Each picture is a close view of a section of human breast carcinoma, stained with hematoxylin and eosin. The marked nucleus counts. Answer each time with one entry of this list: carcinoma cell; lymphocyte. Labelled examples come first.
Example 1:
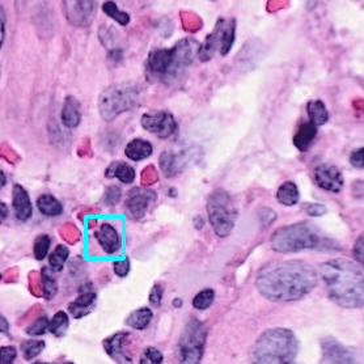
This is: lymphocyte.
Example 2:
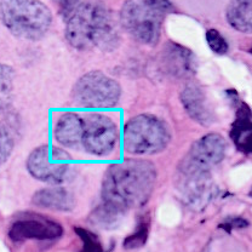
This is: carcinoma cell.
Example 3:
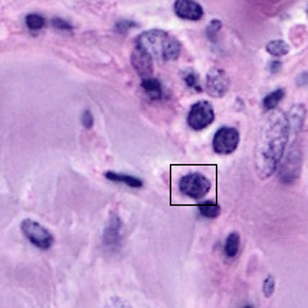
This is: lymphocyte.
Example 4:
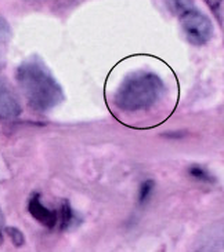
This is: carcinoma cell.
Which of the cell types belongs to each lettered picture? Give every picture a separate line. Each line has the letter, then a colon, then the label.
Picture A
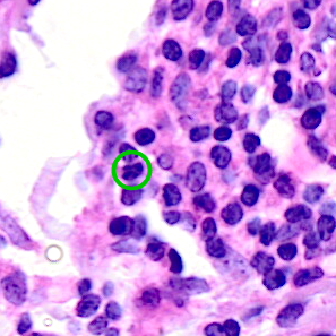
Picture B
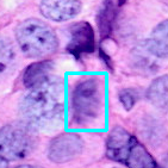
A: lymphocyte.
B: carcinoma cell.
